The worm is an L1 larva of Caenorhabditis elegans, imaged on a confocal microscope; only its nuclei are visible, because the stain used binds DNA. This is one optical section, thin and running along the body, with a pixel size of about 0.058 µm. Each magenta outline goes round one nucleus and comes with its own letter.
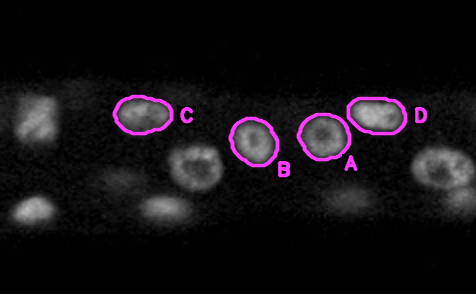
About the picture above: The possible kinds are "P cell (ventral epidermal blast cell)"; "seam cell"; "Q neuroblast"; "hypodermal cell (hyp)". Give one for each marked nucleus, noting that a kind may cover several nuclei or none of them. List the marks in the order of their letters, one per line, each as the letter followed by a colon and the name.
A: seam cell
B: Q neuroblast
C: P cell (ventral epidermal blast cell)
D: P cell (ventral epidermal blast cell)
